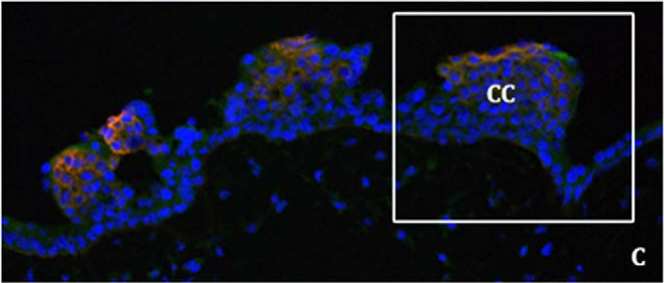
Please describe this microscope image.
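A placental section shows several trophoblast cell columns rising as dome-shaped mounds of closely packed cells from a thin lining layer of cells. The columns are many cells deep, with round to oval blue nuclei crowded together, while the adjacent lining is only one or two cells thick. An orange-yellow overlap of red and green lies over the cytoplasm of cells in the outer parts of the columns, whereas cells at the base of the columns and in the thin lining show mostly blue nuclei alone. Below the lining lies loose tissue with scattered nuclei.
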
